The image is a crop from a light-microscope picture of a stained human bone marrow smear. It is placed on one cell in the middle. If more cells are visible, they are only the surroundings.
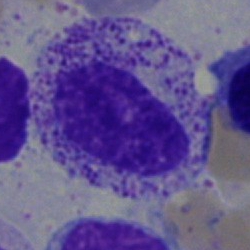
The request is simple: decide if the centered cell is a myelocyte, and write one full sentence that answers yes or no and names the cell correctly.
Yes, the crop's central cell is a myelocyte.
